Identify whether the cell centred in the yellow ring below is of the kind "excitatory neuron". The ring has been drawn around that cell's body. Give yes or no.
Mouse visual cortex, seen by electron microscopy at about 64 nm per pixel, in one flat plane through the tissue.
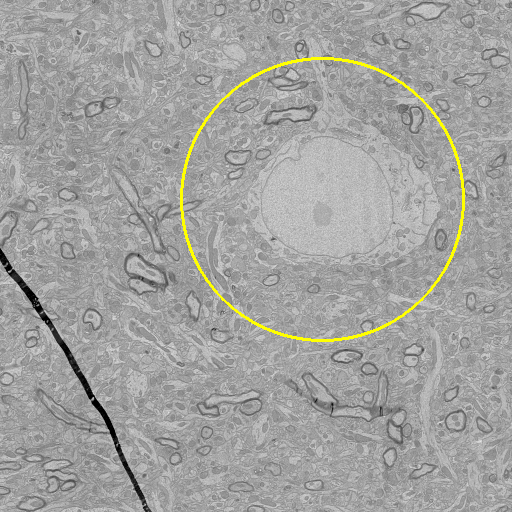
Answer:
yes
